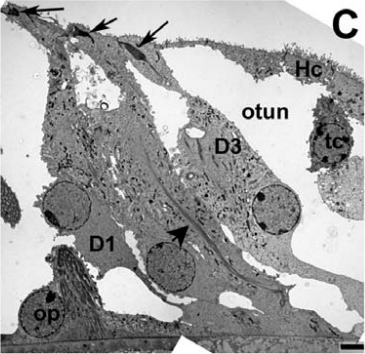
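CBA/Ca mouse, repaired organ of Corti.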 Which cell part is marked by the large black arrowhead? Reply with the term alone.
Microtubule bundle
